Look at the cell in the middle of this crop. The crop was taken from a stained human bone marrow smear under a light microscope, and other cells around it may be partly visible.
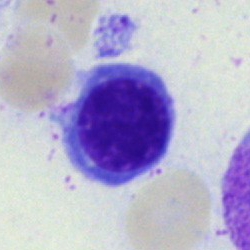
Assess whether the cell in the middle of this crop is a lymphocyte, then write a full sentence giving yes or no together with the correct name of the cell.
No, at the middle of the crop is an erythroblast, not a lymphocyte.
